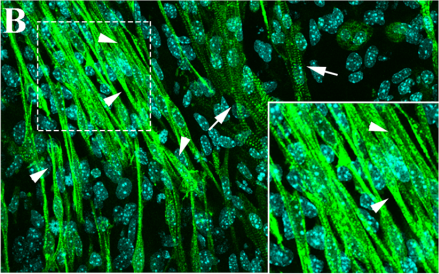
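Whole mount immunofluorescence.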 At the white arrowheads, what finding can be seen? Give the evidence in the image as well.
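Disorganized sarcomeres. Green fibres appear as bright continuous bundles without regular cross-banding. The inset shows smooth, unstriated green staining where the arrowheads point.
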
